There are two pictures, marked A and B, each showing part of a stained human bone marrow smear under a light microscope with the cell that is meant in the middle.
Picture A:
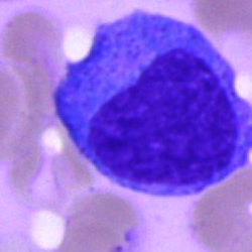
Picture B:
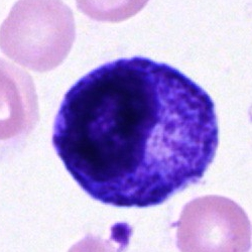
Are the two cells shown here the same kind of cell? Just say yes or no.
yes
